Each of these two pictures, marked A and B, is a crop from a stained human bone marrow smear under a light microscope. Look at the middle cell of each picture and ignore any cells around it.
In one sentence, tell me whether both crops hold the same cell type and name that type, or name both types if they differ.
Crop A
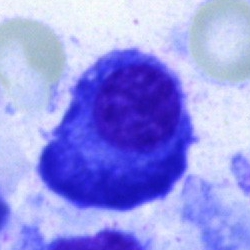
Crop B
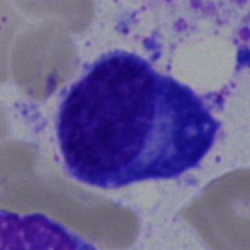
Yes, the central cells in both crops are plasma cells.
